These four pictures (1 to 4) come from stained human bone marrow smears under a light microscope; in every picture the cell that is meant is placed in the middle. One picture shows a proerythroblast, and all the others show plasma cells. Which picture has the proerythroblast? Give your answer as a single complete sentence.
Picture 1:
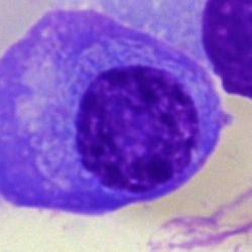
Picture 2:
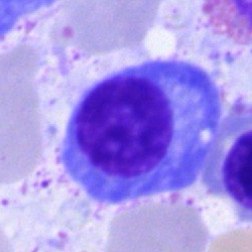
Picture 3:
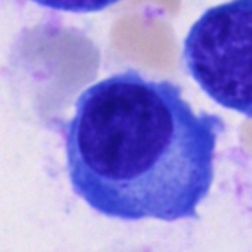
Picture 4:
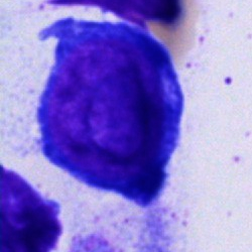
The proerythroblast is the one in picture 4.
